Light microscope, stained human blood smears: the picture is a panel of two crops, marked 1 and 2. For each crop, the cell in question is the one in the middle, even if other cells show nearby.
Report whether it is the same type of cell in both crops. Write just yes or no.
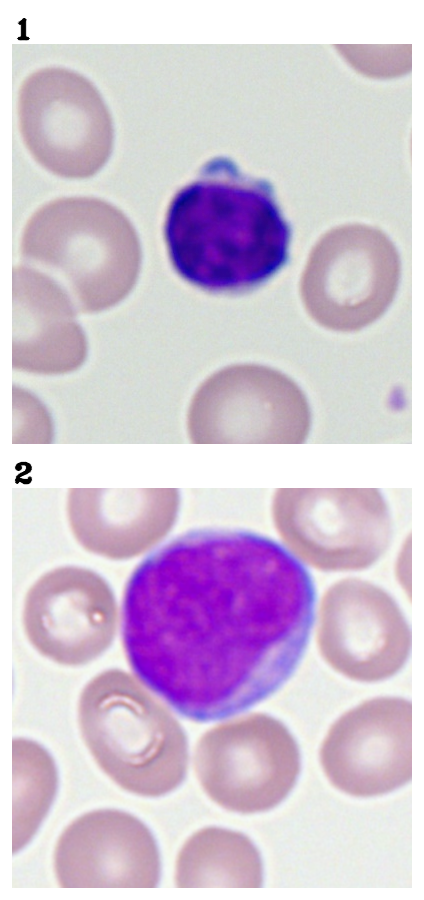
no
